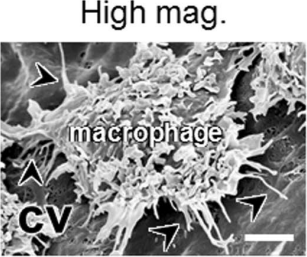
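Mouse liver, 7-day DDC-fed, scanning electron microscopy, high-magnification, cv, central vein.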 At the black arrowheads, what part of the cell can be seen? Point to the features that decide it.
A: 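Thin, long processes reach out from the edge of the cell body. The arrowheads point at these slender projections lying on the vessel surface. The answer: extending pseudopodia.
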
